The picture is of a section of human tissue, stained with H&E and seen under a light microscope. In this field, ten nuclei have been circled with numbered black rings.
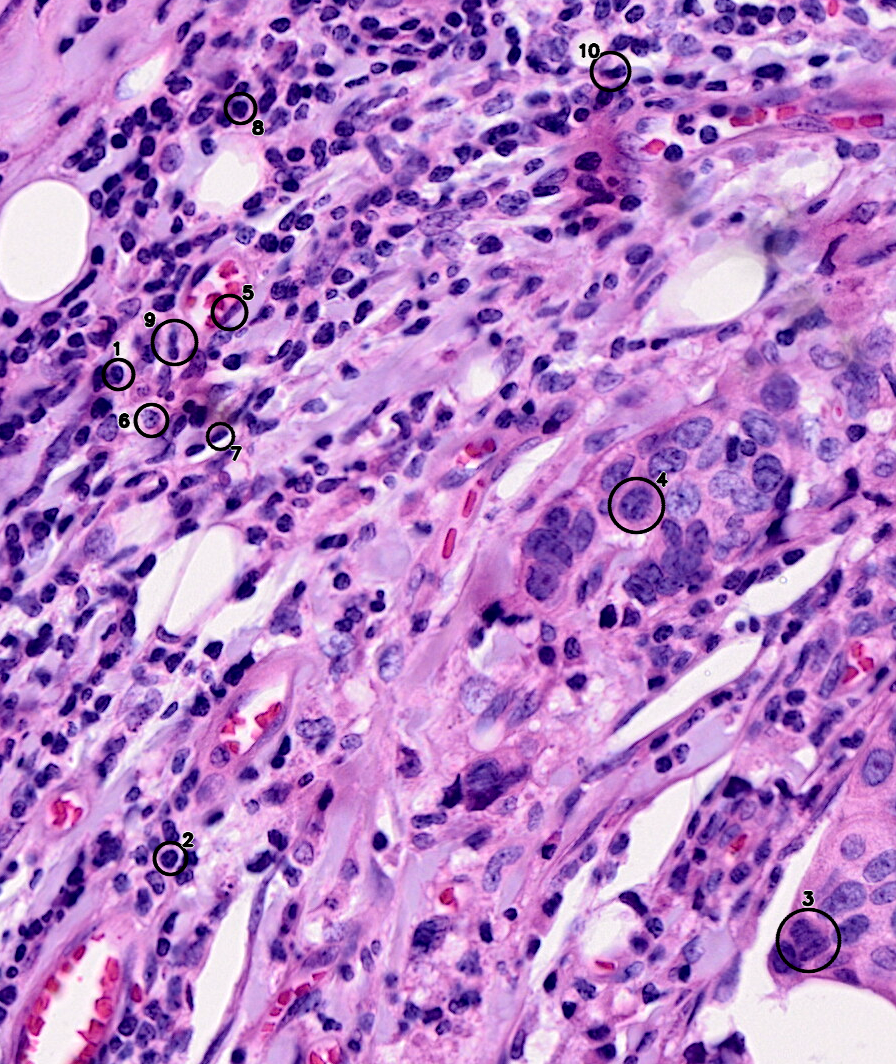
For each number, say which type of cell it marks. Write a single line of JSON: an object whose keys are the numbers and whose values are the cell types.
{"1": "lymphocyte", "2": "lymphocyte", "3": "carcinoma cell", "4": "carcinoma cell", "5": "endothelial cell", "6": "mast cell", "7": "lymphocyte", "8": "lymphocyte", "9": "lymphocyte", "10": "lymphocyte"}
